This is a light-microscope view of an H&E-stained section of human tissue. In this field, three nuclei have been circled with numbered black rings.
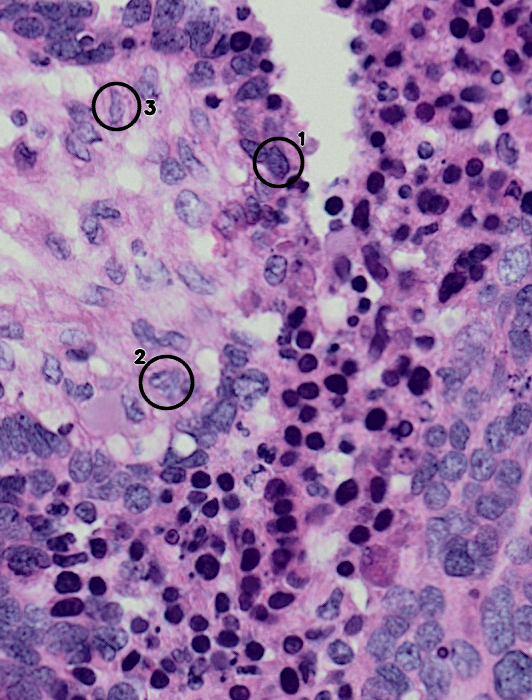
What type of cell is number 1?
carcinoma cell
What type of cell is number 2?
fibroblast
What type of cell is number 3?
fibroblast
